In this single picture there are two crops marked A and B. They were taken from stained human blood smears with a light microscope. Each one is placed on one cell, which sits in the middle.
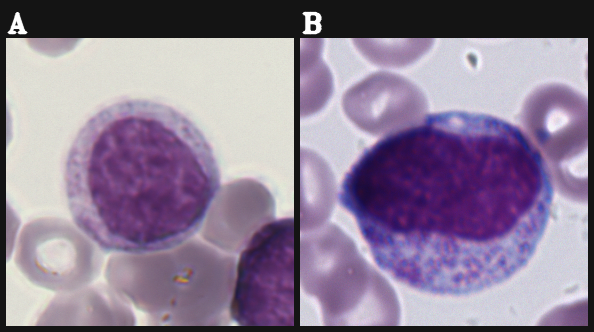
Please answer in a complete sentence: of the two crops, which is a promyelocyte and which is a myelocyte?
Crop A is to be read as a myelocyte and crop B as a promyelocyte.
